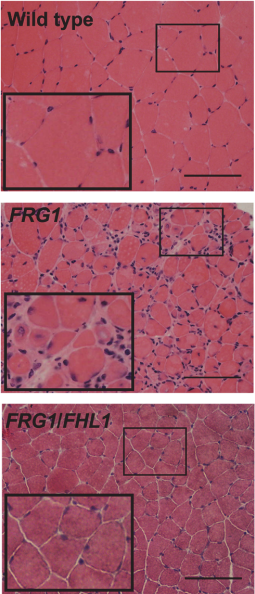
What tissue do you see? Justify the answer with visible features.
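Muscle. Pink polygonal fibres packed side by side in cross-section. Nuclei sit mostly at the edges of the fibres.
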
